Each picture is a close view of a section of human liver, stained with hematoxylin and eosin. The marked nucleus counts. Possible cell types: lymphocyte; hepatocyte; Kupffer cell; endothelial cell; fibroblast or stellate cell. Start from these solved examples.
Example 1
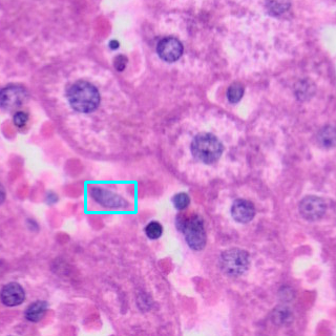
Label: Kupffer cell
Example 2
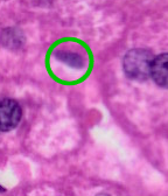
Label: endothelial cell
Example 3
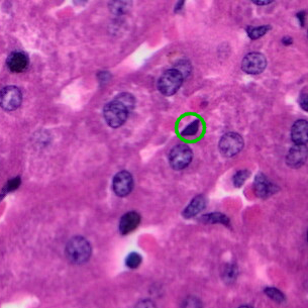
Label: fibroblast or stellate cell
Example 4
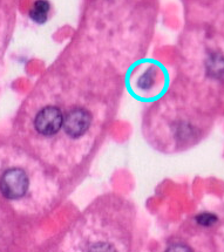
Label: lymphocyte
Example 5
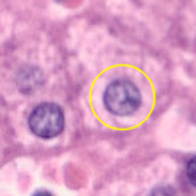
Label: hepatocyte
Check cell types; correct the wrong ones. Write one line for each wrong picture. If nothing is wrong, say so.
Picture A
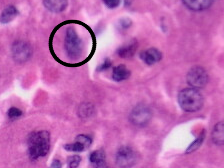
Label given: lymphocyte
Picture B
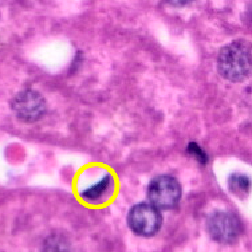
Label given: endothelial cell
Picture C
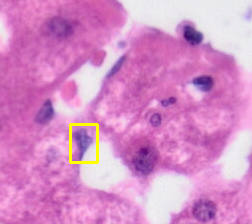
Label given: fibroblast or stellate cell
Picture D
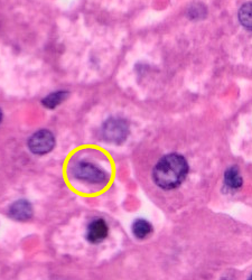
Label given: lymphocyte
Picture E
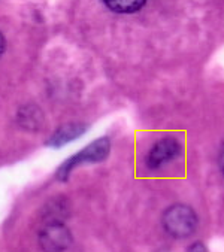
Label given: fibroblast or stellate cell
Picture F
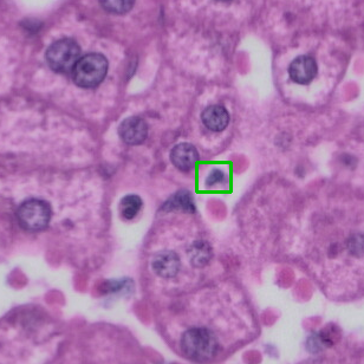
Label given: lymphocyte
Wrong: A (lymphocyte); correct: fibroblast or stellate cell
Wrong: D (lymphocyte); correct: Kupffer cell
